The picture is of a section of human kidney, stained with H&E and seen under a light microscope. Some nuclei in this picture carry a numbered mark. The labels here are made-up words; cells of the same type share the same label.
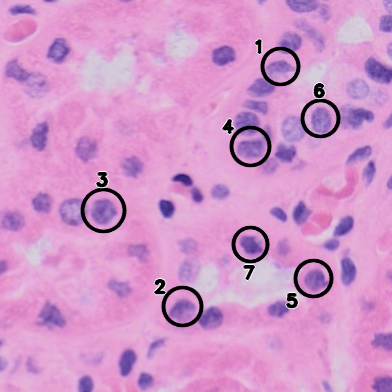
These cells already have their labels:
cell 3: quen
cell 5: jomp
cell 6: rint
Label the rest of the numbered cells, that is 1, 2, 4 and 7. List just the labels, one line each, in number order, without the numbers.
rint
jomp
rint
jomp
